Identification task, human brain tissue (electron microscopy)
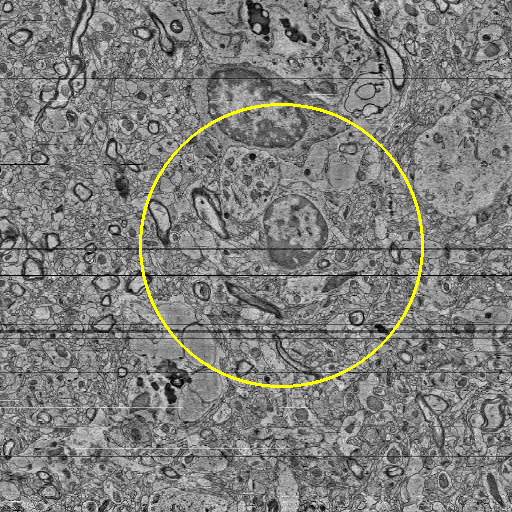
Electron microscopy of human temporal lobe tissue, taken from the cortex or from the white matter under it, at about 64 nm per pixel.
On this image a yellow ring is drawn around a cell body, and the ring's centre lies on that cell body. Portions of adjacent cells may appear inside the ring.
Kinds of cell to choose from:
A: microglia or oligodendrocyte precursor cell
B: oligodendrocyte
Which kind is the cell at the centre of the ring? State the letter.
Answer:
A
